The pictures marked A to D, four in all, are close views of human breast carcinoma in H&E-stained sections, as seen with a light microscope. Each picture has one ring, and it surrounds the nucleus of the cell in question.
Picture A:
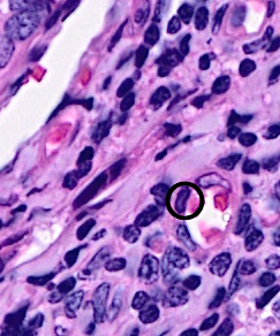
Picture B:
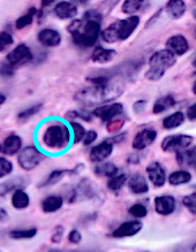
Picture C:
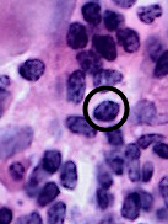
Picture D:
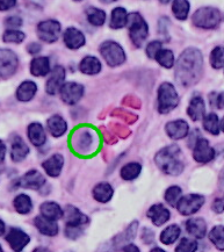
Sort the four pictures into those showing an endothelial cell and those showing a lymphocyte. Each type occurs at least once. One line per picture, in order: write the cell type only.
endothelial cell
lymphocyte
lymphocyte
endothelial cell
